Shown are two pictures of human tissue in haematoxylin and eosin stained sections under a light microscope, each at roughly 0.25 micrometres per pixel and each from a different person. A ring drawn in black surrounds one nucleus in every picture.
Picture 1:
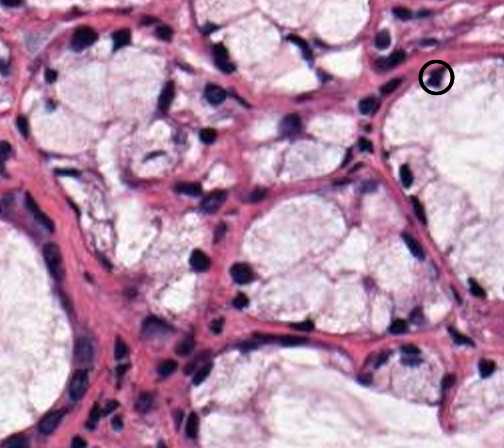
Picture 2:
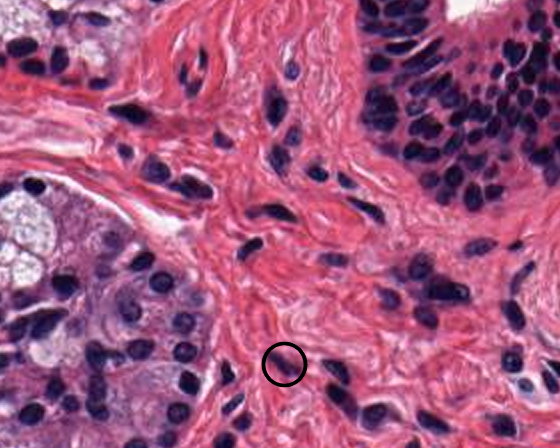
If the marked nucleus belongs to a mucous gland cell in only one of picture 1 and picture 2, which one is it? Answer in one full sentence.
Where the marked nucleus belongs to a mucous gland cell is picture 1, not the other picture.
